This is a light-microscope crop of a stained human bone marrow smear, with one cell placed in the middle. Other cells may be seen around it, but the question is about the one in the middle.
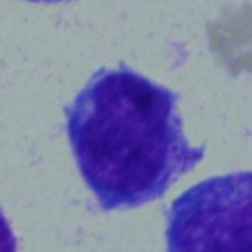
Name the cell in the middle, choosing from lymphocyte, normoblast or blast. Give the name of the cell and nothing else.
blast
